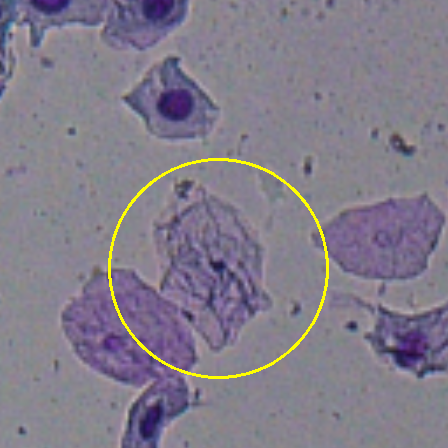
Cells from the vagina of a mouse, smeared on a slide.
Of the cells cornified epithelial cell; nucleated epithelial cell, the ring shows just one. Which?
The ring shows a cornified epithelial cell.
